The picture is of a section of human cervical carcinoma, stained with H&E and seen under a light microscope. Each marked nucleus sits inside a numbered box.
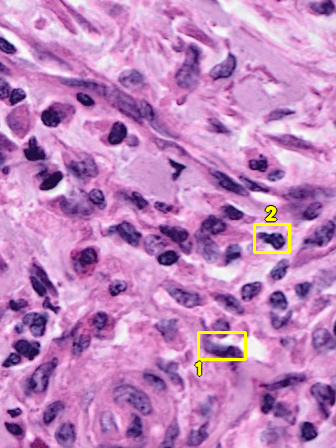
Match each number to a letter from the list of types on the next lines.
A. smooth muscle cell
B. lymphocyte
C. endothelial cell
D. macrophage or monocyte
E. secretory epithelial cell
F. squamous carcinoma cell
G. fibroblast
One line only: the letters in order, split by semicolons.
C; B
